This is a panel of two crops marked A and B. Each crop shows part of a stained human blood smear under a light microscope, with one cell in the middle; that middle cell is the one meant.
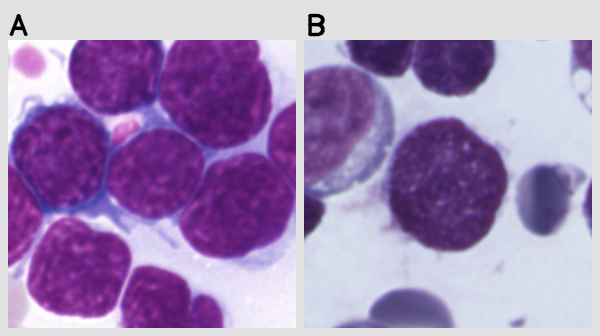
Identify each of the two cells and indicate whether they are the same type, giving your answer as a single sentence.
Yes, blasts occupy the centre of both crops.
